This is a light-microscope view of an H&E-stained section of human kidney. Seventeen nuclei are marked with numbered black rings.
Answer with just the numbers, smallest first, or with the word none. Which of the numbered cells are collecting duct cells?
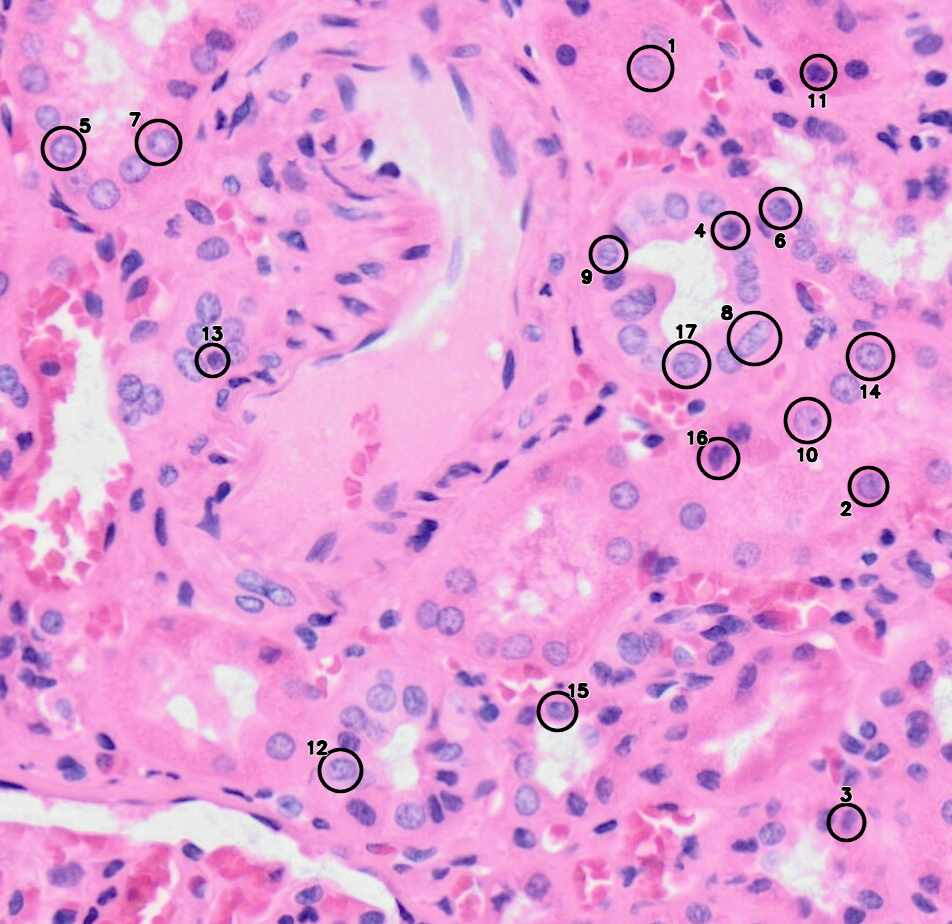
4, 8, 9, 12, 13, 17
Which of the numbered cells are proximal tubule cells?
1, 2, 5, 7, 10, 11, 14, 16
